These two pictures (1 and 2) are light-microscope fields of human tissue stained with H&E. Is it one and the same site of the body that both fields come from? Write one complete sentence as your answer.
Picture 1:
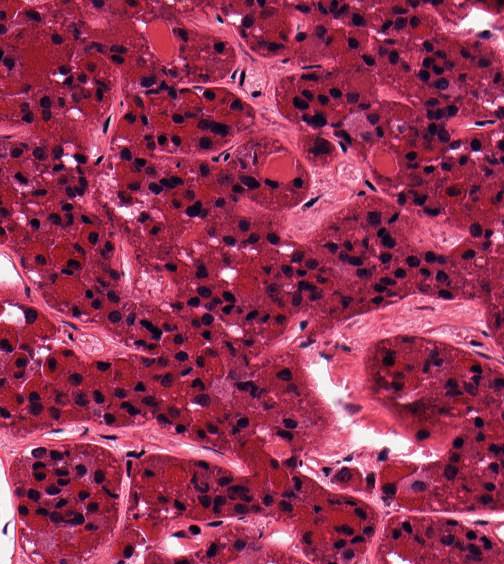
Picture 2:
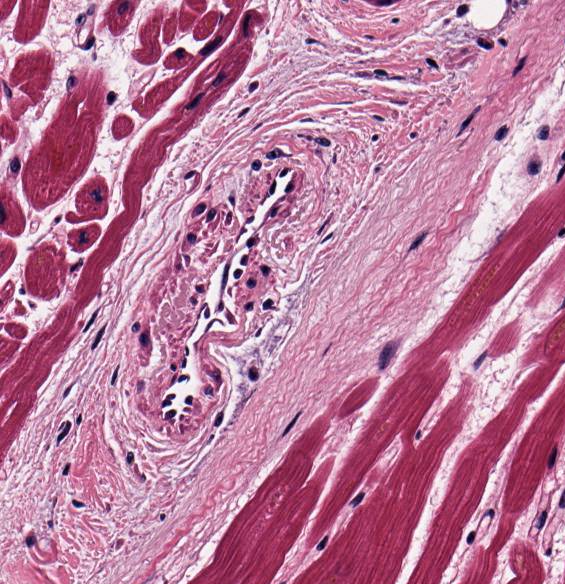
No. Picture 1 comes from the pituitary, whereas picture 2 comes from the left ventricle of the heart.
